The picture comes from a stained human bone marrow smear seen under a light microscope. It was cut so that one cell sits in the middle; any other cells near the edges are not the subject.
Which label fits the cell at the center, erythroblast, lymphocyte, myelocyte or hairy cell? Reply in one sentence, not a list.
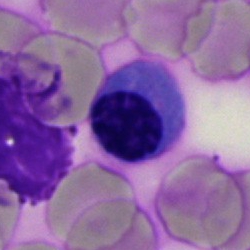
Here the cell in the middle is an erythroblast.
